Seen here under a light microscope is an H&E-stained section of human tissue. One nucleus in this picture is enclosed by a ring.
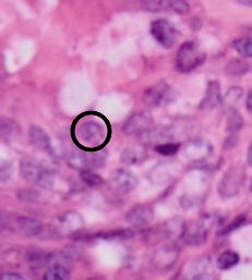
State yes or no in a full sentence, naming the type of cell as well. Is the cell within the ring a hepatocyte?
No, in this section the cell within the ring is a ciliated epithelial cell and not a hepatocyte.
